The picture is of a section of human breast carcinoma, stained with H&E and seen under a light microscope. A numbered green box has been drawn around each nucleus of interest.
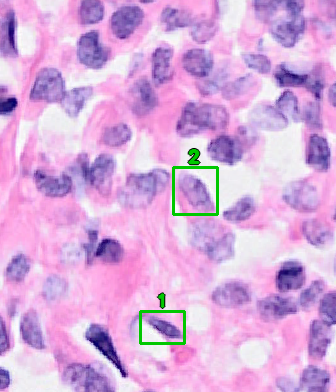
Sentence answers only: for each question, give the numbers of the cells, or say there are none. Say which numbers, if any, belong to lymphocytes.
There are no lymphocytes among the cells marked with numbers.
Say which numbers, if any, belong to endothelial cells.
Cell 1 is an endothelial cell, whereas each of the other numbered cells is not.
